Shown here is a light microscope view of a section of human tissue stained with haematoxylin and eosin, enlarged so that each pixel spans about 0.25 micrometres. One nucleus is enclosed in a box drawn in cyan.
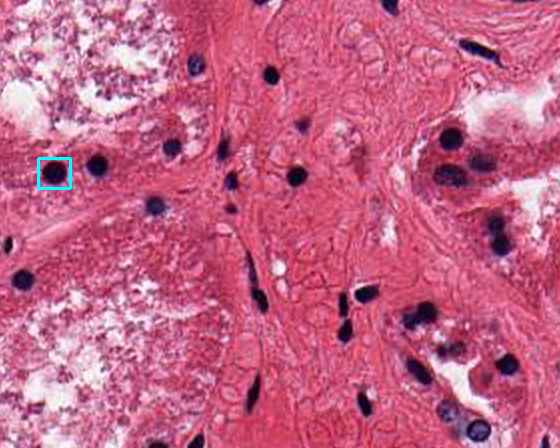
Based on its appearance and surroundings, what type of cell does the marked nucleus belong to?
proximal tubule cell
